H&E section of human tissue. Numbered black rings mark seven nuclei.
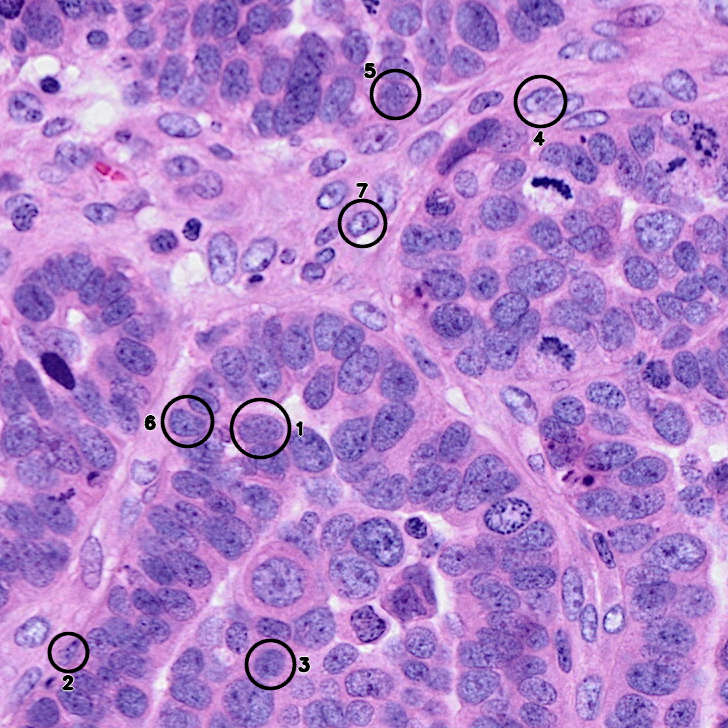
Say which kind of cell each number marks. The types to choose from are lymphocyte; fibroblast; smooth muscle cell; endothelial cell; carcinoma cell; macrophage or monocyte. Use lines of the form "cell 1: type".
cell 1: carcinoma cell
cell 2: fibroblast
cell 3: carcinoma cell
cell 4: fibroblast
cell 5: carcinoma cell
cell 6: carcinoma cell
cell 7: fibroblast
